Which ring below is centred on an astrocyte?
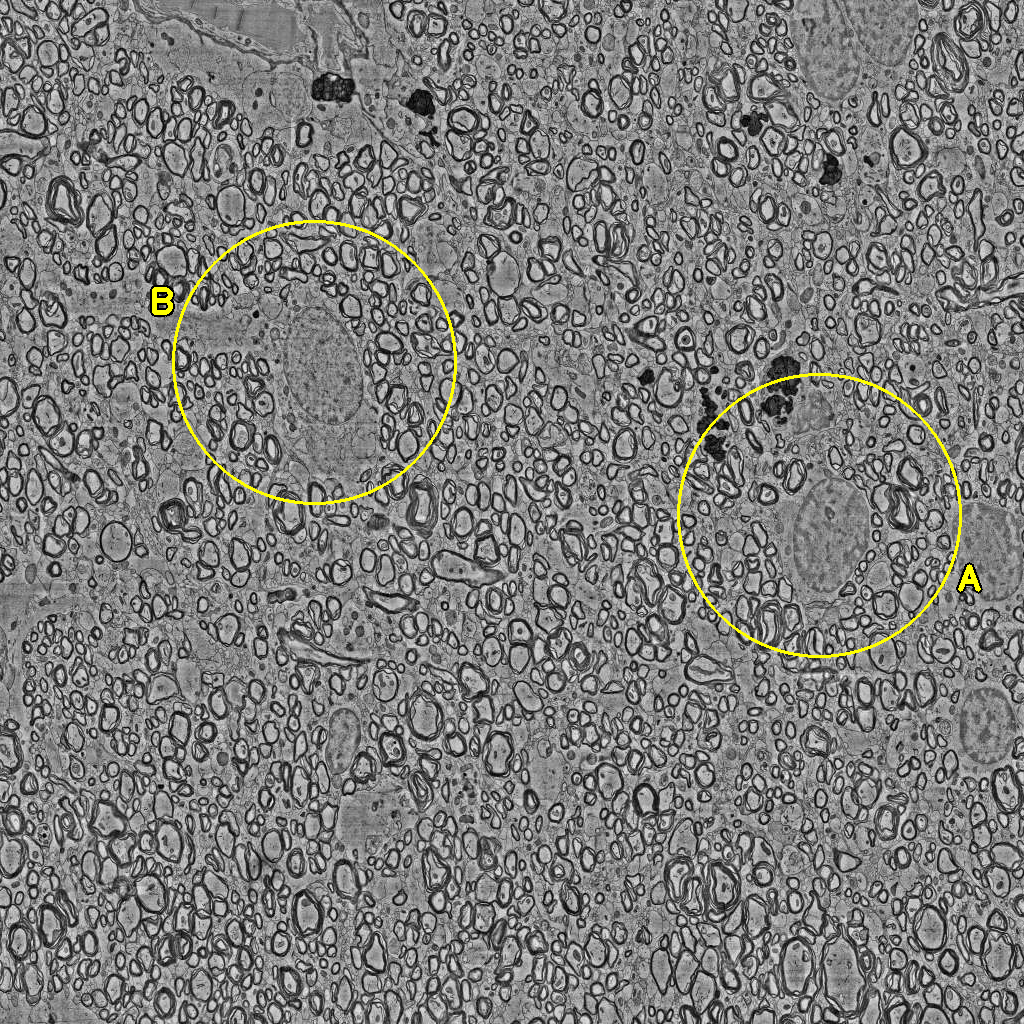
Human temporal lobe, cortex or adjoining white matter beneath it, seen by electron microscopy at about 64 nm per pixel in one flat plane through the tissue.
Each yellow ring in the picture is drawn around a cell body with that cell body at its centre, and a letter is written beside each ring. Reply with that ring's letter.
B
